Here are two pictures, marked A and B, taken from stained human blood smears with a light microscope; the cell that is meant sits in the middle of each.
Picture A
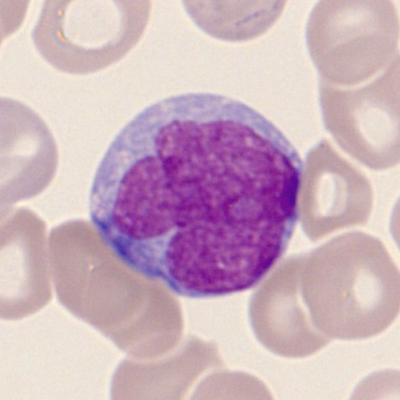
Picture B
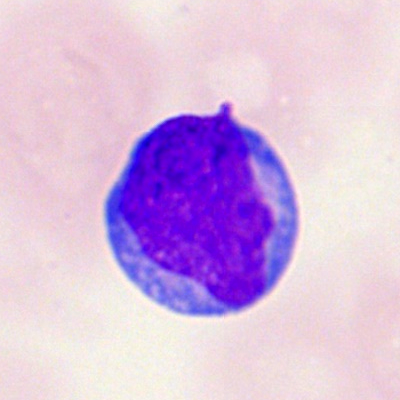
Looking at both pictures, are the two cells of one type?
yes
